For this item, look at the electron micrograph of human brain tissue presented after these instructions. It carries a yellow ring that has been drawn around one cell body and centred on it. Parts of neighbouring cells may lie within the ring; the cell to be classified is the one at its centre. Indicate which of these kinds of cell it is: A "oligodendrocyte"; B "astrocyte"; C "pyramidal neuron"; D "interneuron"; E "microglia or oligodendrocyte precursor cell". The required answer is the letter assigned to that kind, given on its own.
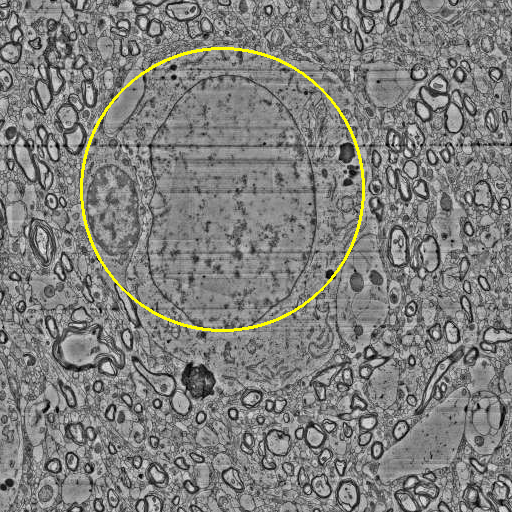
C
